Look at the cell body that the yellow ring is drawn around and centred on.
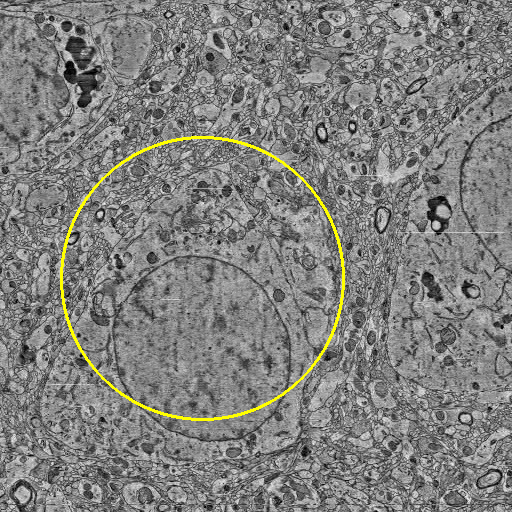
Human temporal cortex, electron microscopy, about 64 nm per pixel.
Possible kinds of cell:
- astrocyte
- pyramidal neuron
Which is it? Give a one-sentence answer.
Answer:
The centred cell body is that of a pyramidal neuron.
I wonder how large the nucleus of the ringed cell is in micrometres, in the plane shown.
About 12 micrometres across in this plane.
